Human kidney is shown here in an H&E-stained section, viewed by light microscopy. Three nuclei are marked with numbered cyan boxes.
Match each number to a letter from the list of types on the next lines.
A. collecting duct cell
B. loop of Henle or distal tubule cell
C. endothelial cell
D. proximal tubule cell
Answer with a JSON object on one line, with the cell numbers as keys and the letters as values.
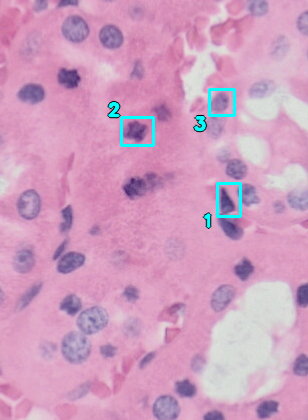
{"1": "C", "2": "D", "3": "A"}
